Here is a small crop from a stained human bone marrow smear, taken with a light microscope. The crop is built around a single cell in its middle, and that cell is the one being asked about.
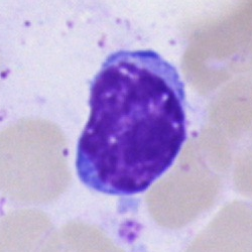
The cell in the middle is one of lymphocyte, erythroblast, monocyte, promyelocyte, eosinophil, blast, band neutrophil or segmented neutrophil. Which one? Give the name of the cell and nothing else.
lymphocyte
